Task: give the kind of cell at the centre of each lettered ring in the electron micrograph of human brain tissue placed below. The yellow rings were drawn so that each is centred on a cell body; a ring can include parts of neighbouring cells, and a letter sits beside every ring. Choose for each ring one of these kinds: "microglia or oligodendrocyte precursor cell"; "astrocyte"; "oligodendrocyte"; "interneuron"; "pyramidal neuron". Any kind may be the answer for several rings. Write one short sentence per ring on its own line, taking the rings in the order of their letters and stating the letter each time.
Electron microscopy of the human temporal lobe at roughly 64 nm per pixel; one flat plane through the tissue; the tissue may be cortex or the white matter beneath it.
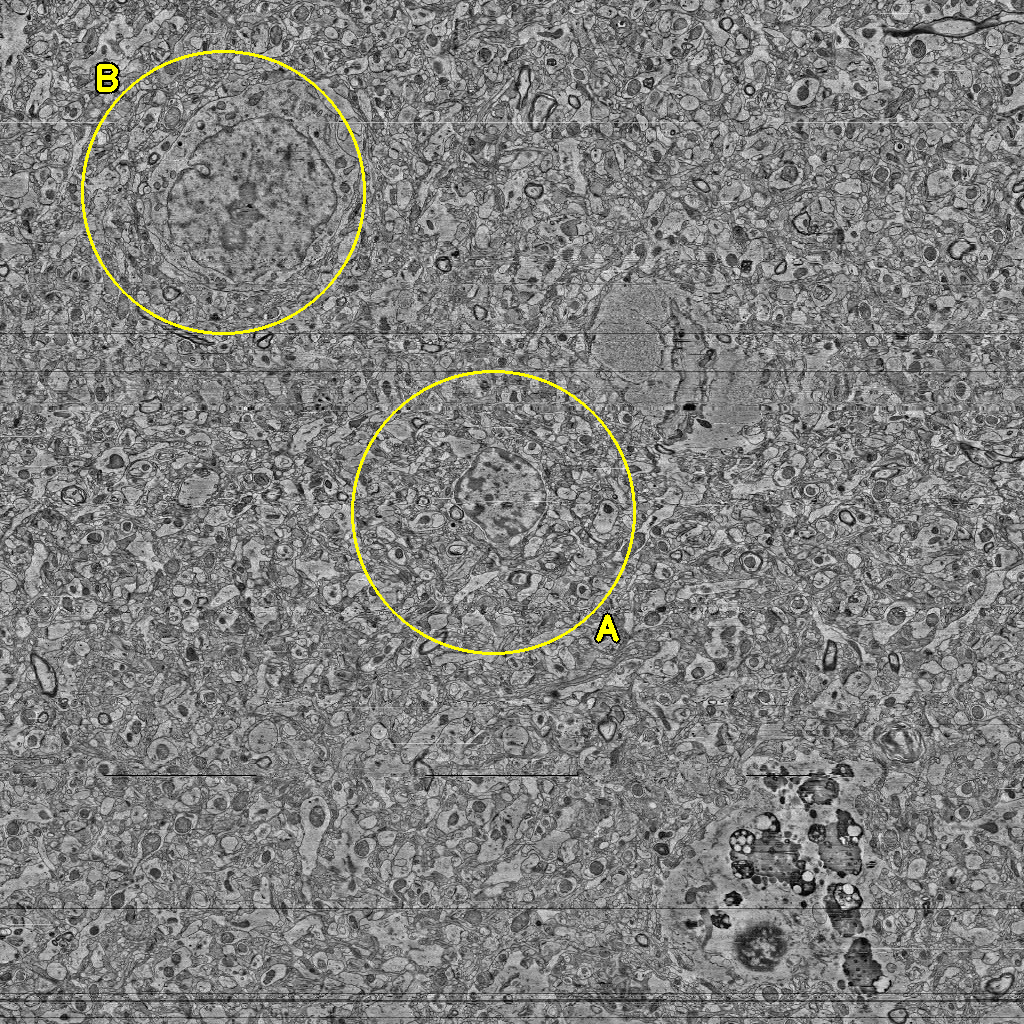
The yellow ring marked A surrounds a microglial cell or oligodendrocyte precursor cell.
The yellow ring marked B surrounds an interneuron.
